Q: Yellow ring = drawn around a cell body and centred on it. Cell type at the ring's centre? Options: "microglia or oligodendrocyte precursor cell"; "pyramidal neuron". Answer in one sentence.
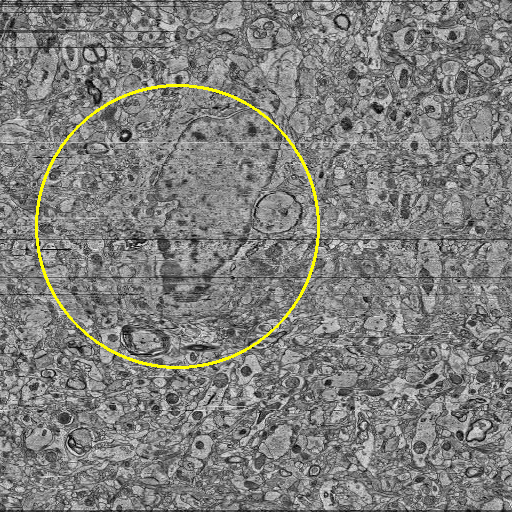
Centred in the ring is a microglial cell or oligodendrocyte precursor cell.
